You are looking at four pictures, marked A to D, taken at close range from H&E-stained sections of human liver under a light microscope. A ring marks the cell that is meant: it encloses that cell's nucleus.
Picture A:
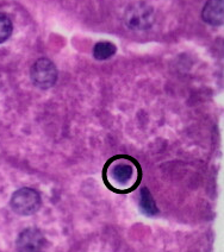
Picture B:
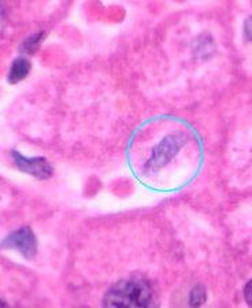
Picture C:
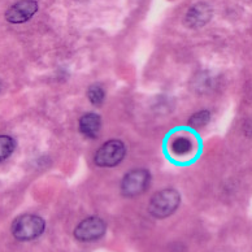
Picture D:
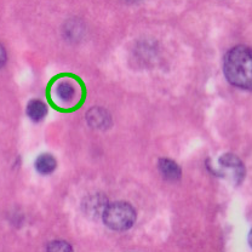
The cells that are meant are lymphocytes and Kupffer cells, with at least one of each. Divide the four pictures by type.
A: lymphocyte
B: Kupffer cell
C: lymphocyte
D: lymphocyte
